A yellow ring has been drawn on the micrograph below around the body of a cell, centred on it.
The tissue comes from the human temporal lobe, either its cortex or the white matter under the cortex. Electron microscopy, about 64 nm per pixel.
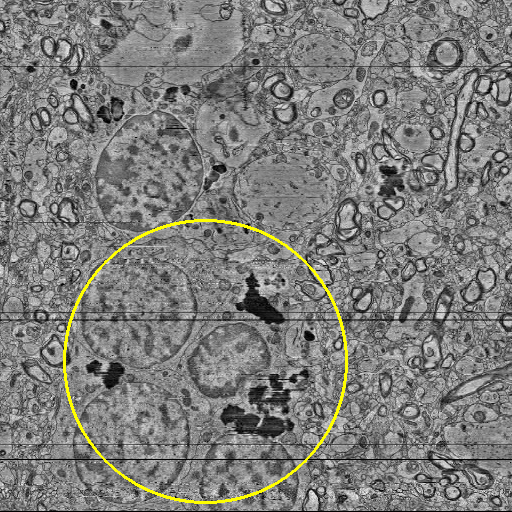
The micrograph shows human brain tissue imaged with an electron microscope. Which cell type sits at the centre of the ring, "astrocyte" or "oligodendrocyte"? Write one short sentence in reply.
The cell sitting at the centre of the ring is an oligodendrocyte.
